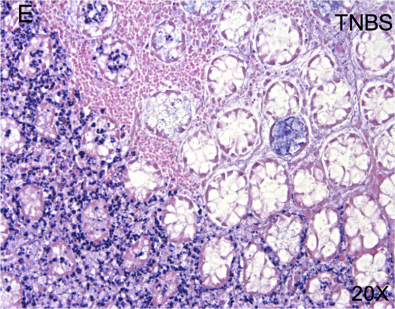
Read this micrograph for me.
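This inflamed colonic mucosa is cut across so the crypts appear as round rings of epithelium with pale goblet cells. On the left the tissue between the crypts is packed with small round dark nuclei of leukocytes, while at the top a pink pool of red blood cells spreads between the crypts. Some crypts are distorted and contain debris, and the orderly layout of the mucosa is disturbed.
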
